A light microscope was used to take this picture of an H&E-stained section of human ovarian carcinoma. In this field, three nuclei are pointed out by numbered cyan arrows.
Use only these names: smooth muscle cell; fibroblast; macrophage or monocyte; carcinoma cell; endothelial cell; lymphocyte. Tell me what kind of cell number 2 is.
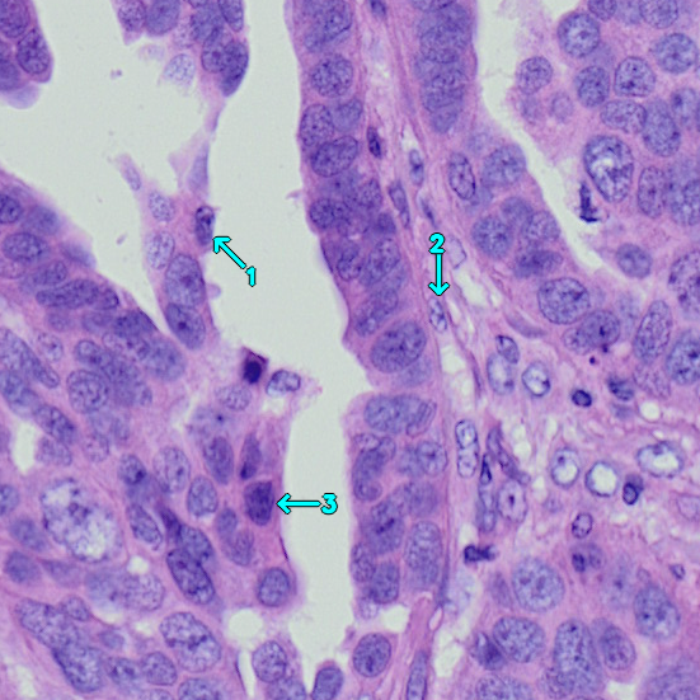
fibroblast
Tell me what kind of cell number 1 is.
macrophage or monocyte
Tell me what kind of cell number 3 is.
carcinoma cell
